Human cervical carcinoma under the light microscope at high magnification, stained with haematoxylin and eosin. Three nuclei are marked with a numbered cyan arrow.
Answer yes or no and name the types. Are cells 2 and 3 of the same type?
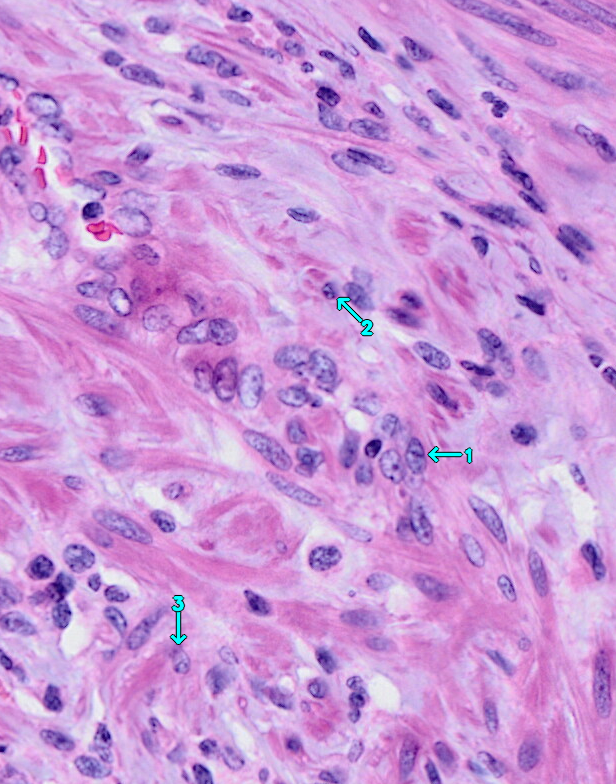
Yes, cells 2 and 3 are both counted as smooth muscle cells.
